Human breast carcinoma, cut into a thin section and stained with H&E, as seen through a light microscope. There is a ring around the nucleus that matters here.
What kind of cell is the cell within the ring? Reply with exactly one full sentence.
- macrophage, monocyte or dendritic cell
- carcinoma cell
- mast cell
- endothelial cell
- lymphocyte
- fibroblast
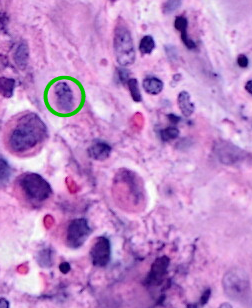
As to its cell type, the cell within the ring is a mast cell.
